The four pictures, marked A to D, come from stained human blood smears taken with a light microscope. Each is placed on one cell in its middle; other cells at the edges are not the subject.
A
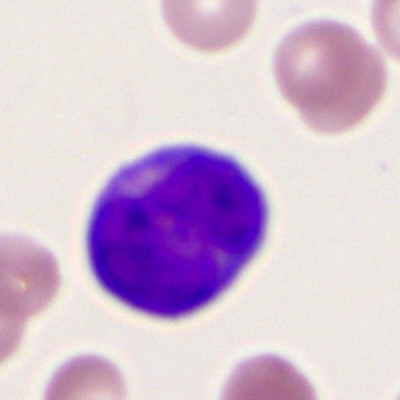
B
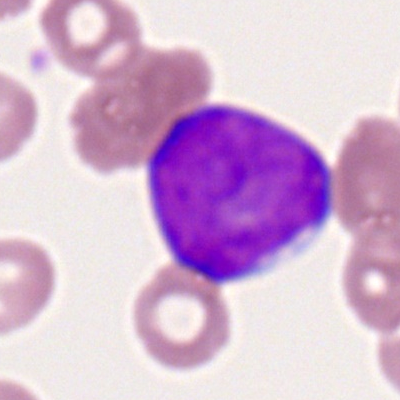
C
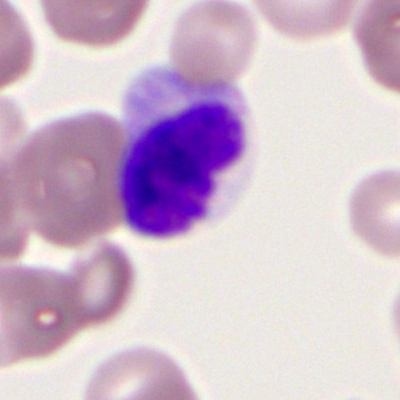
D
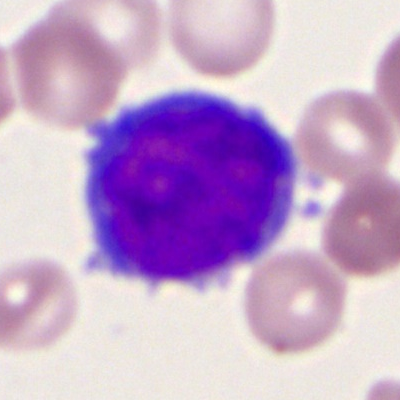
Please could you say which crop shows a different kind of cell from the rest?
C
